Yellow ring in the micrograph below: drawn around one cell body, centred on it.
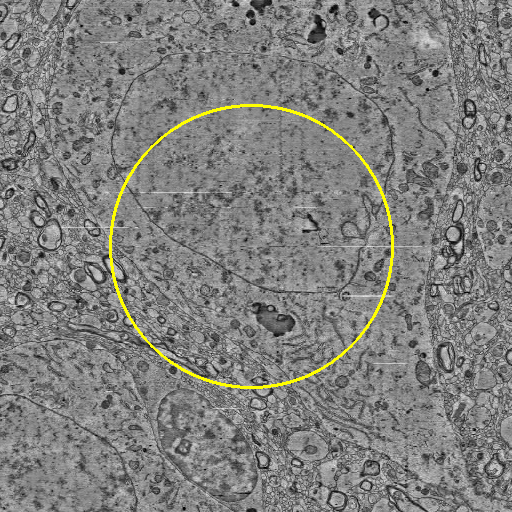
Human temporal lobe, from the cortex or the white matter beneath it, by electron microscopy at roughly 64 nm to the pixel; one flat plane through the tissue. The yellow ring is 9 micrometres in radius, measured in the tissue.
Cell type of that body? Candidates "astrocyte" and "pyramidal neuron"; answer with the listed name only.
pyramidal neuron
